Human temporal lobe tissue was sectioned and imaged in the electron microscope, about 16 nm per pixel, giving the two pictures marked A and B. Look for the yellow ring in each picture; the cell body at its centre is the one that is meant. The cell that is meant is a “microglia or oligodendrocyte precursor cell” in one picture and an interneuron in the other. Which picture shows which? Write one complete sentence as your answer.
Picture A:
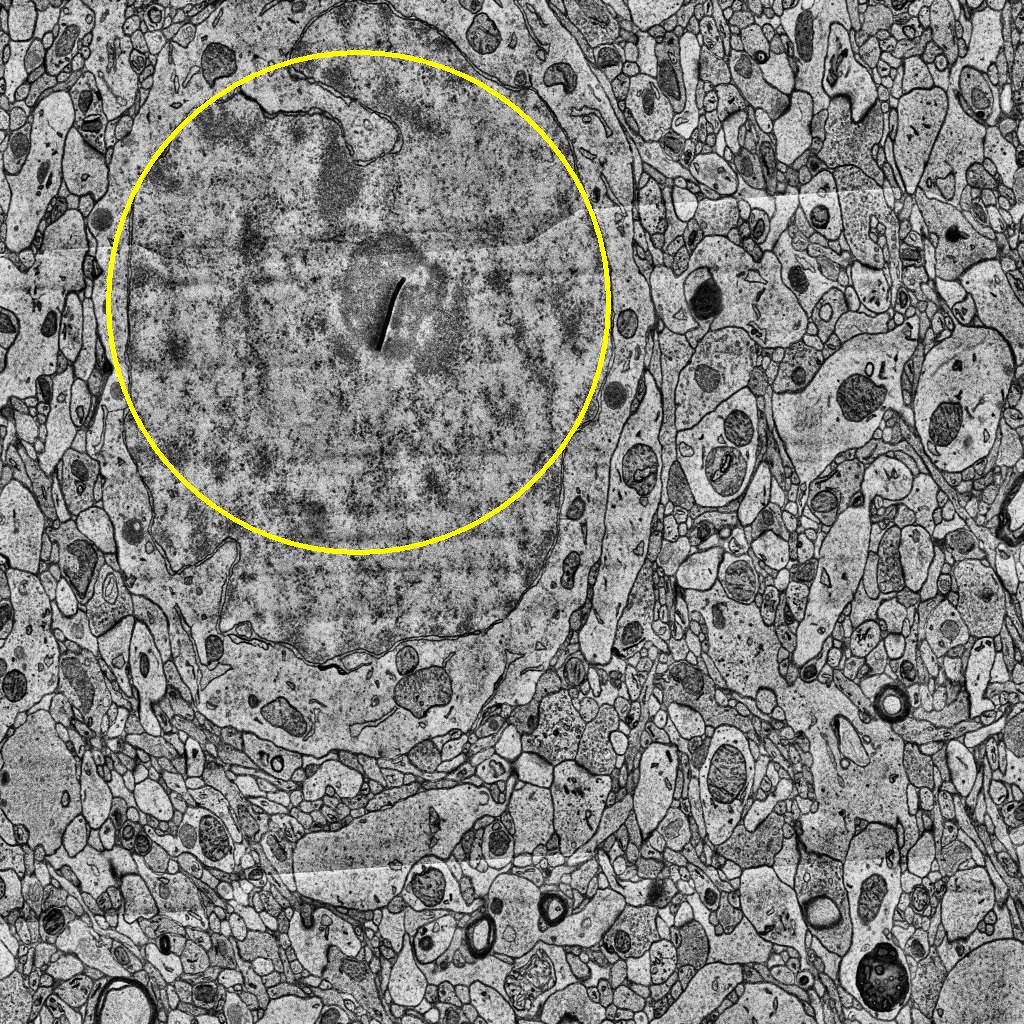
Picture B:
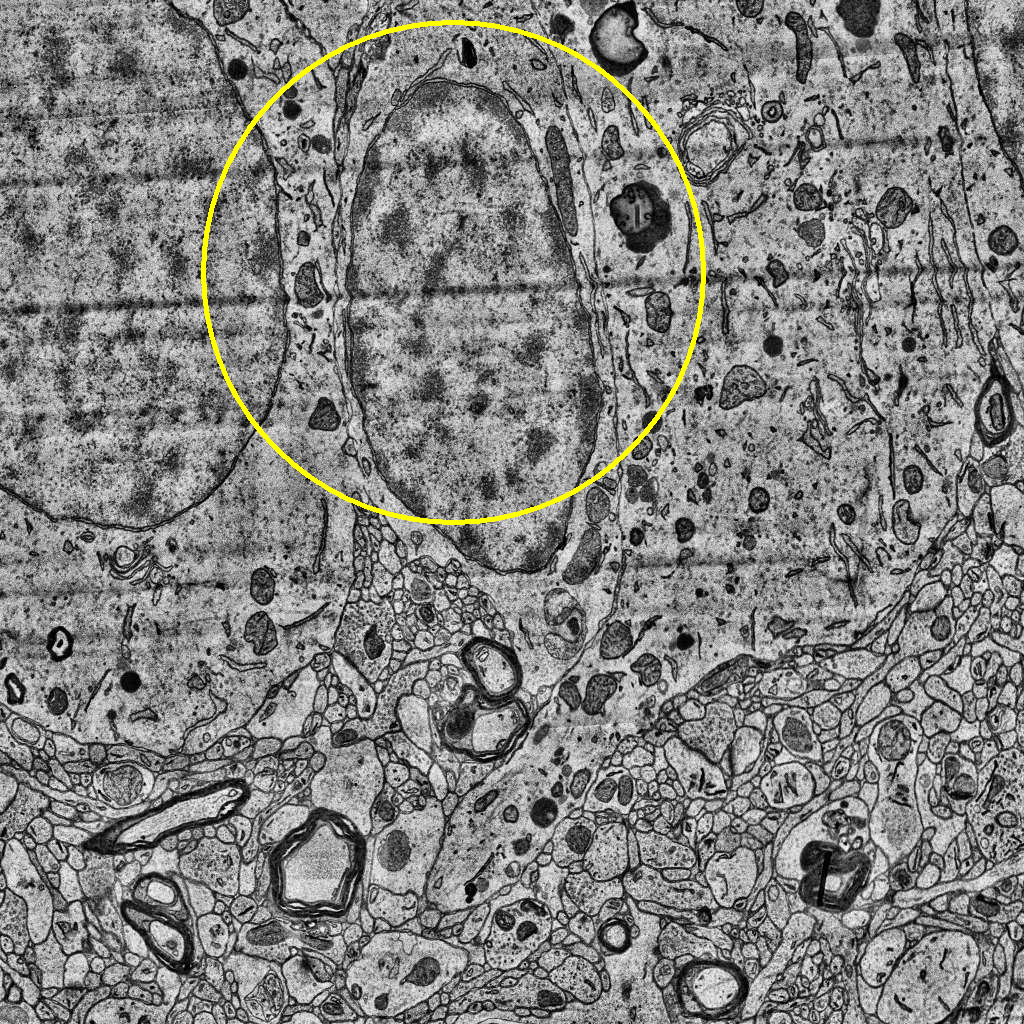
In picture A the cell is an interneuron; in picture B, a “microglia or oligodendrocyte precursor cell”.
